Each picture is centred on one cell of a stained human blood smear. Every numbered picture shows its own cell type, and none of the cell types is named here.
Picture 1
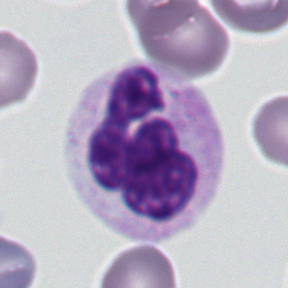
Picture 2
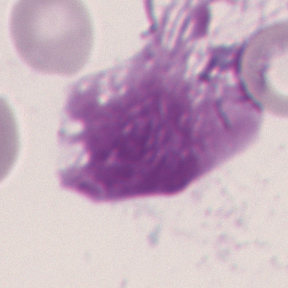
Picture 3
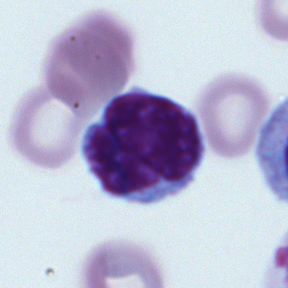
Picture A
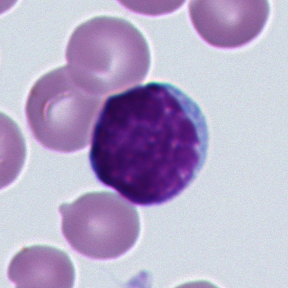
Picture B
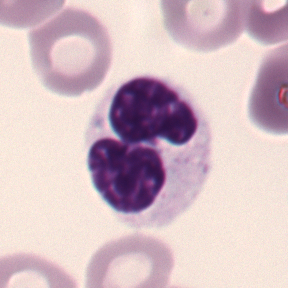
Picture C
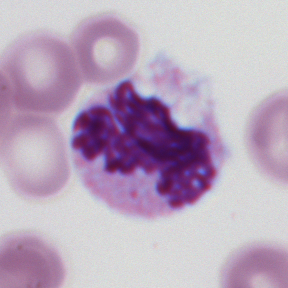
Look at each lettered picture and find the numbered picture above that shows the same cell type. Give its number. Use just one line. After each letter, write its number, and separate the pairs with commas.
A 3, B 1, C 1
